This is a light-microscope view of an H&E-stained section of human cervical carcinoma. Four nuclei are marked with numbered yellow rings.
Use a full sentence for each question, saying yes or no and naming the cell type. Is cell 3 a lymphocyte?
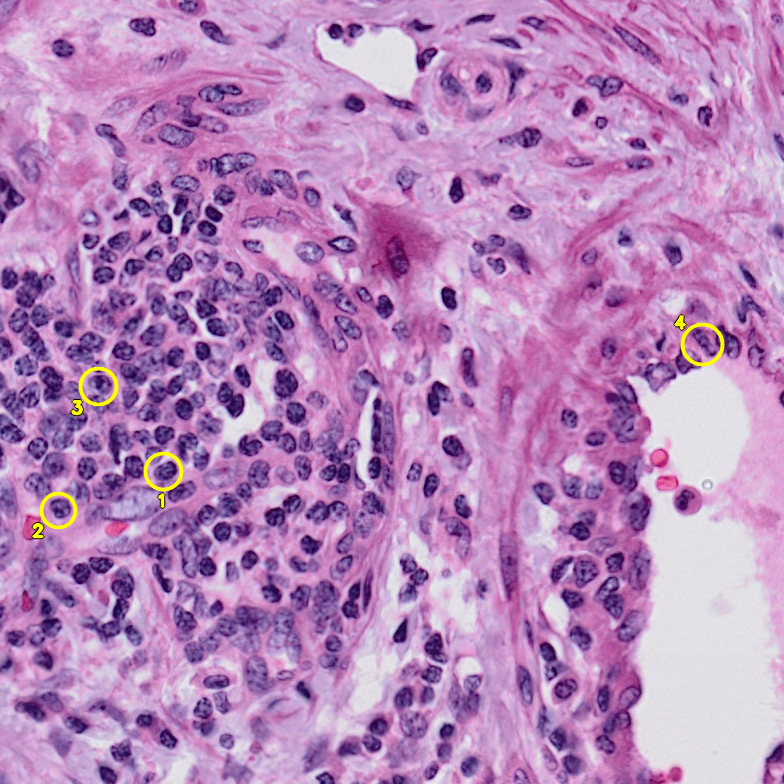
Yes, the cell marked with number 3 is a lymphocyte.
